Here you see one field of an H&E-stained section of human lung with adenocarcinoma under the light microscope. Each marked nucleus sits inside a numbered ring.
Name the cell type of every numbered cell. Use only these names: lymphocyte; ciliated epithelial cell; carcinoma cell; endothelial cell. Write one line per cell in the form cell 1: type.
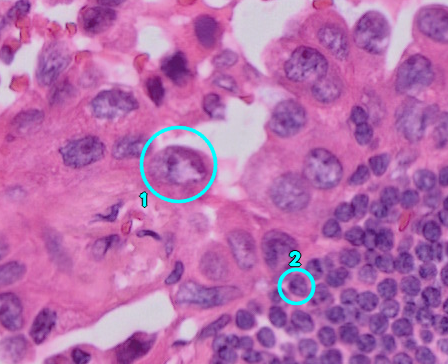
cell 1: carcinoma cell
cell 2: lymphocyte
